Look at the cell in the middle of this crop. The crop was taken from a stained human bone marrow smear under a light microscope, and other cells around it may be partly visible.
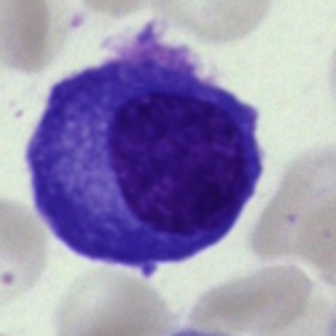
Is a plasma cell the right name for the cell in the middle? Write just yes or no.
yes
